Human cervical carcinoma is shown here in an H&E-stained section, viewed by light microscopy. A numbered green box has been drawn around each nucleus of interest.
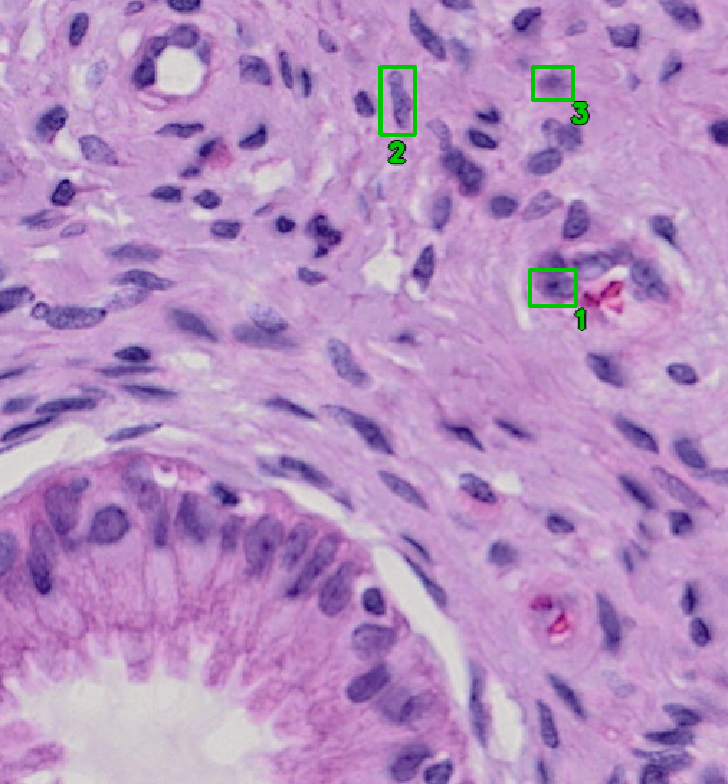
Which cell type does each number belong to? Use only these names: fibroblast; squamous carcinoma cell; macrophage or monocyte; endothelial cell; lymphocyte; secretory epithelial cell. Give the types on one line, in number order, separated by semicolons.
endothelial cell; fibroblast; fibroblast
